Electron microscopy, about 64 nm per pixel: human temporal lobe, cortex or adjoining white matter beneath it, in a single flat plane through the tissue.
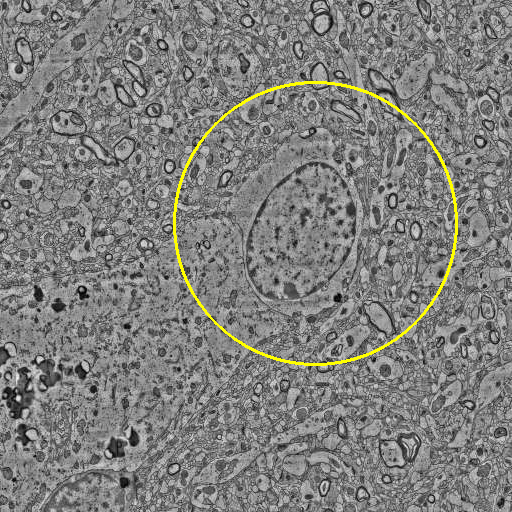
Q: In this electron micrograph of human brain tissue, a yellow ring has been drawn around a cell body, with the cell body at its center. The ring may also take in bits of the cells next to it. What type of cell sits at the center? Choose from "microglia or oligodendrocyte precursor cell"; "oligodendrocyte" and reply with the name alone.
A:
microglia or oligodendrocyte precursor cell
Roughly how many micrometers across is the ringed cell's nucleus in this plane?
In this plane, approximately 9 by 6 micrometers.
